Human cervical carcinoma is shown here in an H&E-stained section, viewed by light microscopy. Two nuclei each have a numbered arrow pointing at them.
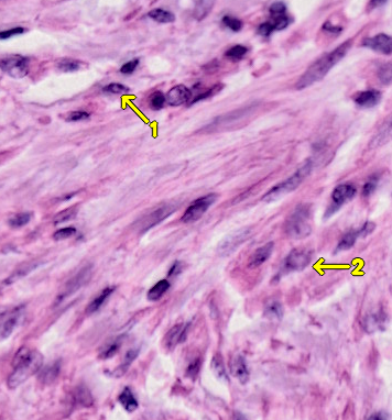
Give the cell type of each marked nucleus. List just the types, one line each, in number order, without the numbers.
macrophage or monocyte
fibroblast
